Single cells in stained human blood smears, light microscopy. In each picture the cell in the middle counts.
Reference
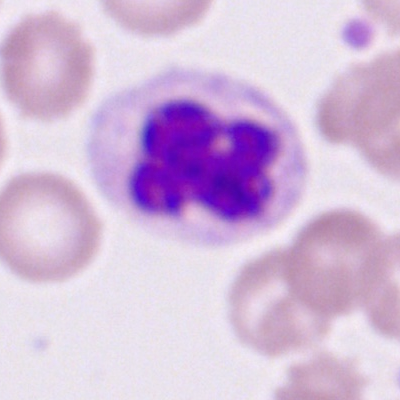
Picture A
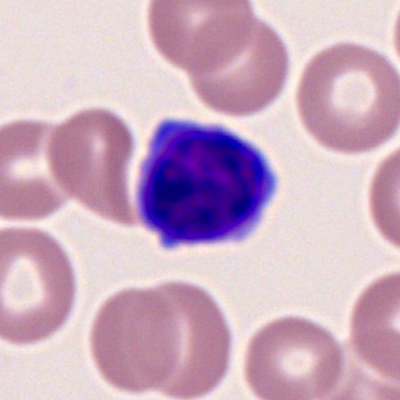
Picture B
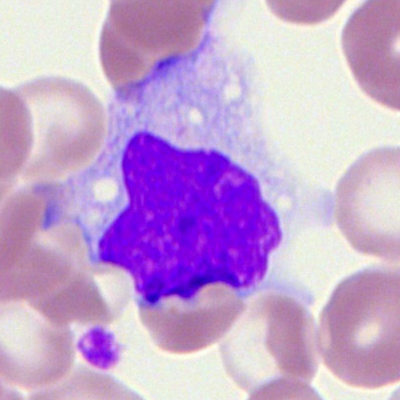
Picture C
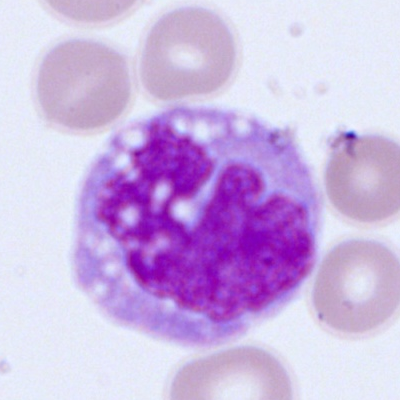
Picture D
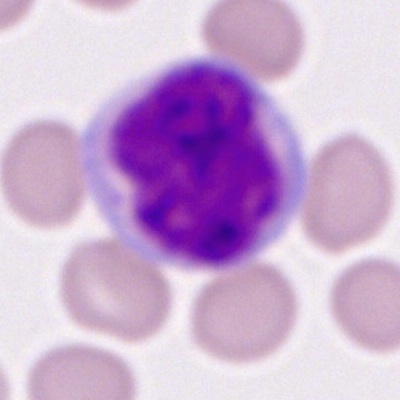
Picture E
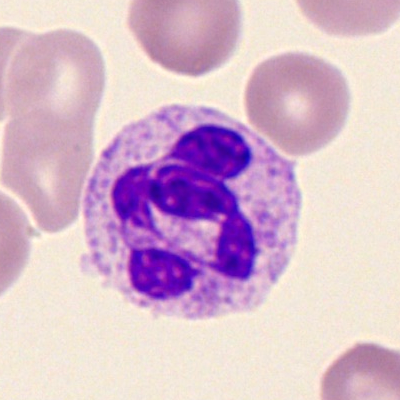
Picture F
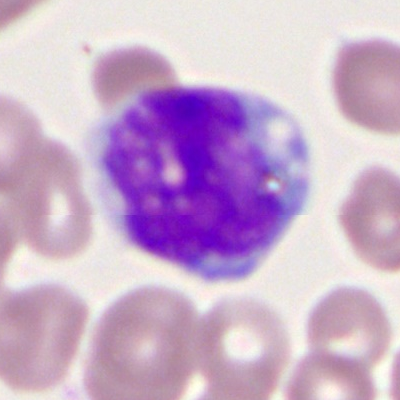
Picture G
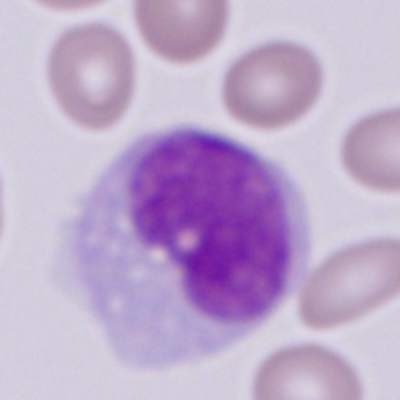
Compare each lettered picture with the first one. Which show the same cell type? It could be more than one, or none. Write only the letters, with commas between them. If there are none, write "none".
E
